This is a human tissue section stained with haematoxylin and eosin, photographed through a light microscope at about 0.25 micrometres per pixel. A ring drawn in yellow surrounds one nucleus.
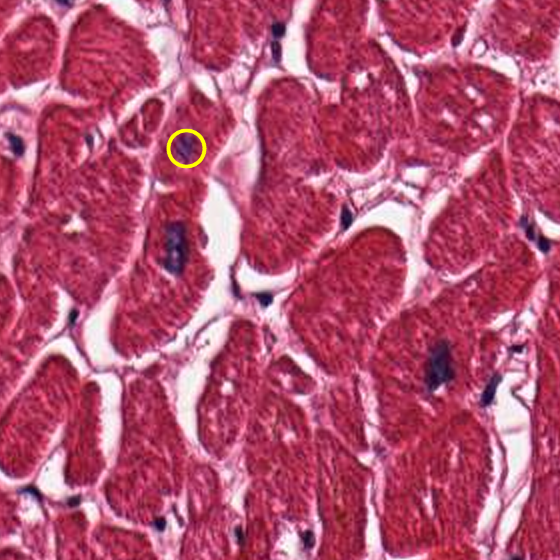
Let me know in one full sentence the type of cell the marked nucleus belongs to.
In this image, the nucleus that is marked belongs to a cardiomyocyte.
